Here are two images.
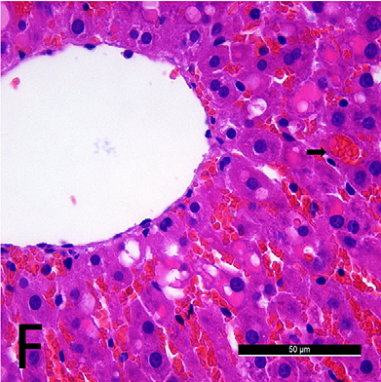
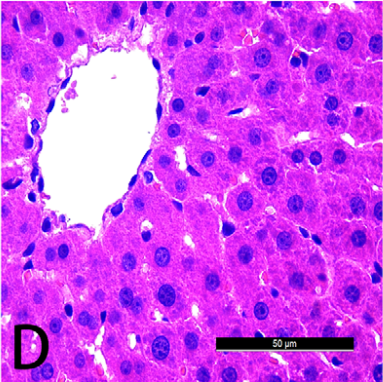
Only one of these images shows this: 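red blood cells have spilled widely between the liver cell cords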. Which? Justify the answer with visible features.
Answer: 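The first image. First image: many bright red pools of erythrocytes among the hepatocytes. Second image: uniform pink hepatocyte cords with no red blood cell pools.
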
